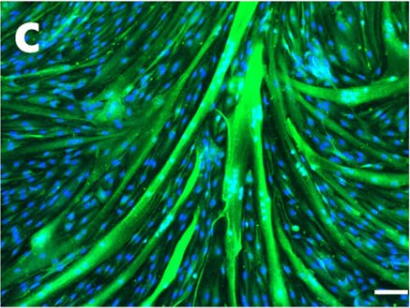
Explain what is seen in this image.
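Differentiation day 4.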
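These are cultured muscle cells that have fused into myotubes, seen as long, bright green fibres sweeping across the field in a roughly parallel, fan-like pattern. Some fibres are broad and others thin, and several taper or branch at their ends. Between the bright fibres lies a dense layer of dimmer, spindle-shaped cells, each with a single oval blue nucleus, aligned in the same direction as the fibres. The blue nuclei are scattered fairly evenly over the whole culture, including within the green fibres.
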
